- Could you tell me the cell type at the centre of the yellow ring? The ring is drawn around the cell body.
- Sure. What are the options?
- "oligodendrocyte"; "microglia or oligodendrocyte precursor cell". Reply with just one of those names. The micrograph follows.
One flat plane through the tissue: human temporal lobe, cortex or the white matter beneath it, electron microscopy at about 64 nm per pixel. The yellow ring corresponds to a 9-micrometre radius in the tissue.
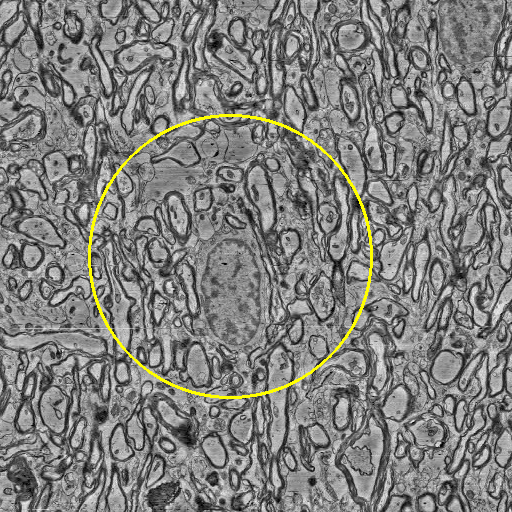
oligodendrocyte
